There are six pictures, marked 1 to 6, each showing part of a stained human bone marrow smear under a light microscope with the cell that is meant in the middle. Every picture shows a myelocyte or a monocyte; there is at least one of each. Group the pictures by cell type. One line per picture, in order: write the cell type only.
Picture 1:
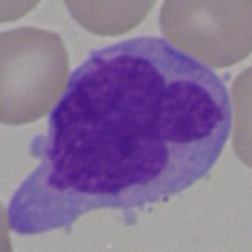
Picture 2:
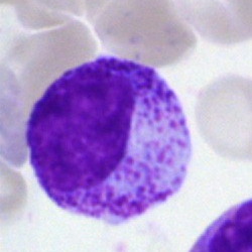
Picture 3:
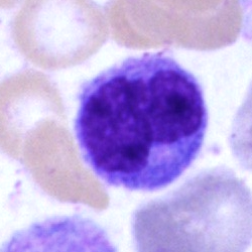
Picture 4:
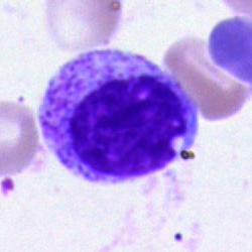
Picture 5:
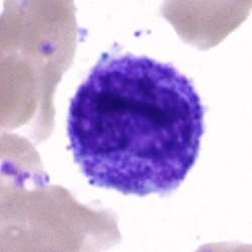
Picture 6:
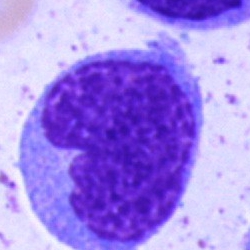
monocyte
myelocyte
monocyte
myelocyte
myelocyte
monocyte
